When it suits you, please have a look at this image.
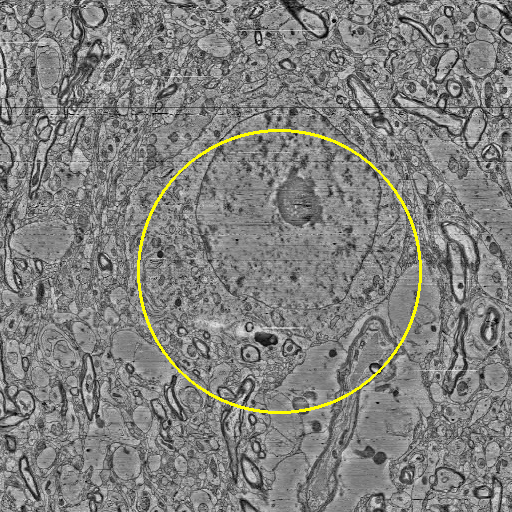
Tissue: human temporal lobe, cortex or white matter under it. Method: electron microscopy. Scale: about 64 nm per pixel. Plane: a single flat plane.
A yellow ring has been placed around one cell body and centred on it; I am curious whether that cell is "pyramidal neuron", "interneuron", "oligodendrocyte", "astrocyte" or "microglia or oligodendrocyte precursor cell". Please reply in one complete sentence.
The ringed cell, a pyramidal neuron, has its body at the centre of the yellow ring.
